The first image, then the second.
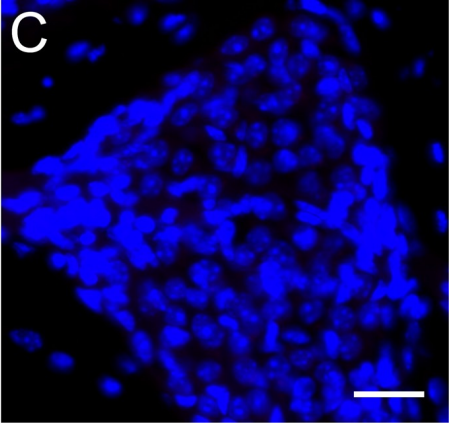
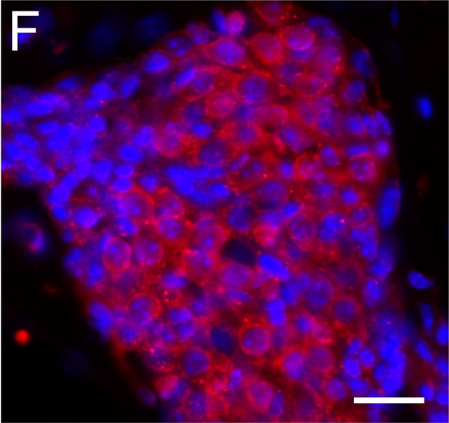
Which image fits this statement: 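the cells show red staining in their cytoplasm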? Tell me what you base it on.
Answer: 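The second image. Second image: red staining fills the cytoplasm around each blue nucleus. First image: only blue nuclei are visible, with no red.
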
